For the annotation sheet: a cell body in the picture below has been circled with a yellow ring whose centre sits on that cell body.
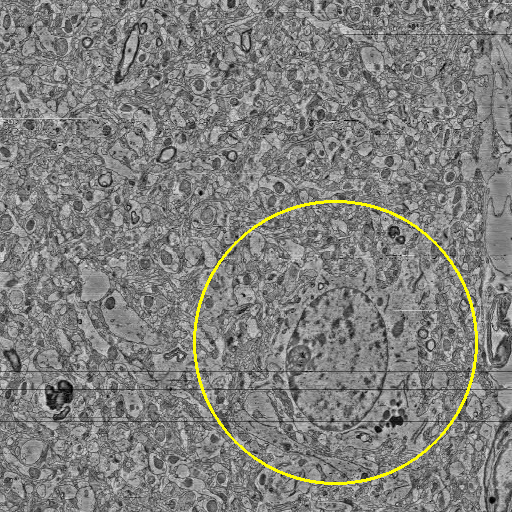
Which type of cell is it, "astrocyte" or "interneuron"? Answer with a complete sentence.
The circled cell is an astrocyte.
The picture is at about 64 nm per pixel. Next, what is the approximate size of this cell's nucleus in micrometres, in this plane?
Approximately 9 x 6 micrometres in this plane.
